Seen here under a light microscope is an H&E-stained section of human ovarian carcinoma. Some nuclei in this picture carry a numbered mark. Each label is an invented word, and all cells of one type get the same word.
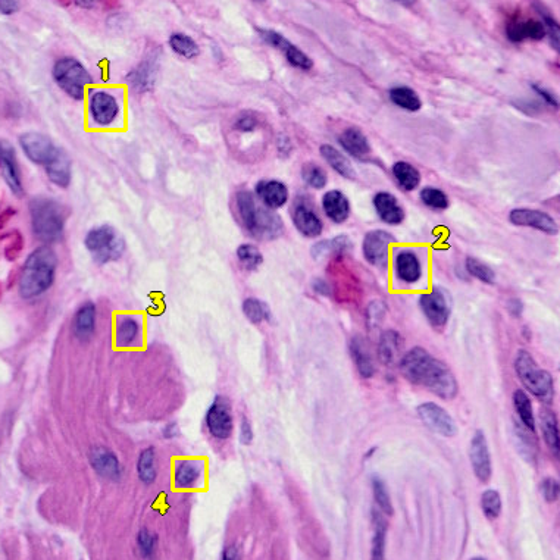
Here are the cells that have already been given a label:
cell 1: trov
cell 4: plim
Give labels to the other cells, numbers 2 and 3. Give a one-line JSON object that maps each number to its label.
{"2": "trov", "3": "plim"}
